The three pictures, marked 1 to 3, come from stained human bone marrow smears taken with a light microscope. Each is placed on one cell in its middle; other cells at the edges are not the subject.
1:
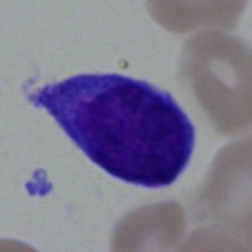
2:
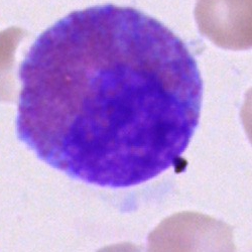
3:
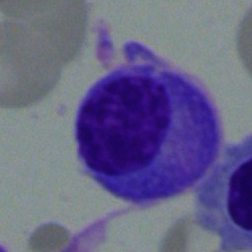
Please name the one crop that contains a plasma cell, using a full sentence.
The crop showing a plasma cell in this series is crop 3.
